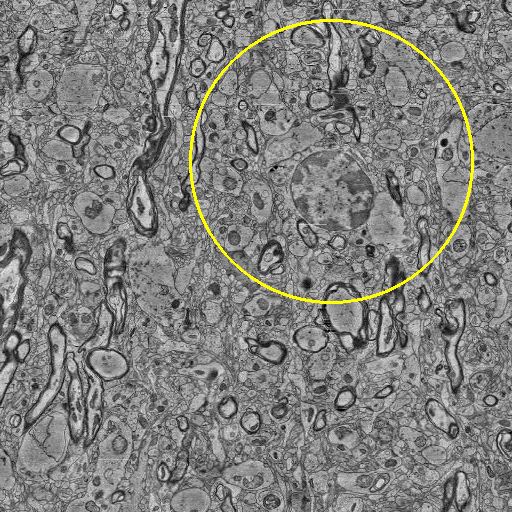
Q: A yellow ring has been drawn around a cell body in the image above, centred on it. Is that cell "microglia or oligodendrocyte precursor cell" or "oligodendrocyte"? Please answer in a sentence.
The ring surrounds the cell body of a microglial cell or oligodendrocyte precursor cell.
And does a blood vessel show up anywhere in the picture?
No.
